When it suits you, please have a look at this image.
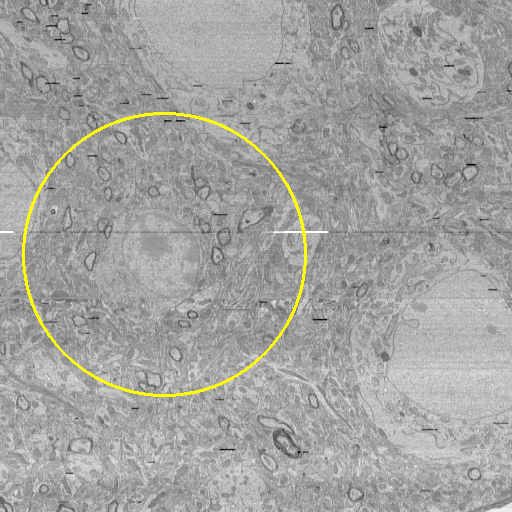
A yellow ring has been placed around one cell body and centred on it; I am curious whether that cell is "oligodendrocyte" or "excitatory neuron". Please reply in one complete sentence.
The ringed cell, an oligodendrocyte, has its body at the centre of the yellow ring.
